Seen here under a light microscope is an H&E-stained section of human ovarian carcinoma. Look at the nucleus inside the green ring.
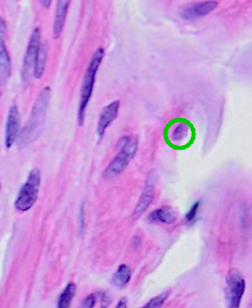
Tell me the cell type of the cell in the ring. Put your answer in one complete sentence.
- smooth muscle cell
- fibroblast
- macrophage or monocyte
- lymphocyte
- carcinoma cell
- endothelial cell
In the tissue under study, the cell in the ring is a smooth muscle cell.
